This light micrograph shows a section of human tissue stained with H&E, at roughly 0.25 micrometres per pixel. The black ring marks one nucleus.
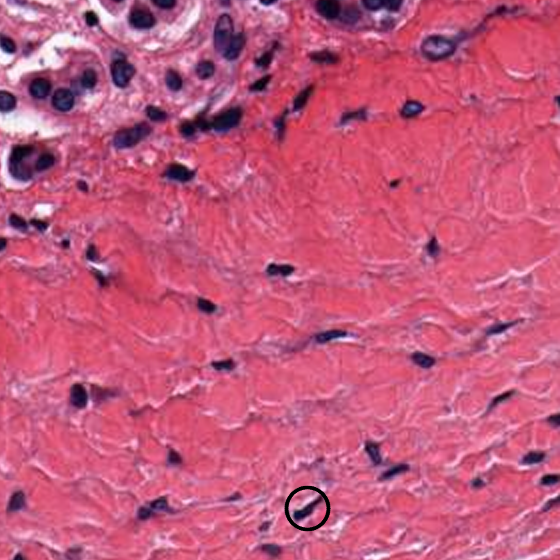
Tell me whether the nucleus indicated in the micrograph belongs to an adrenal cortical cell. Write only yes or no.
no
